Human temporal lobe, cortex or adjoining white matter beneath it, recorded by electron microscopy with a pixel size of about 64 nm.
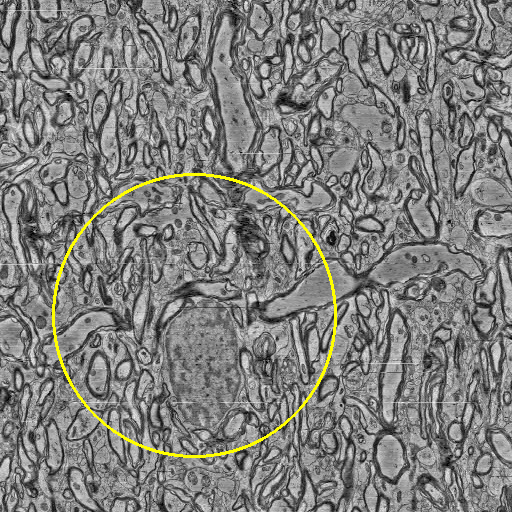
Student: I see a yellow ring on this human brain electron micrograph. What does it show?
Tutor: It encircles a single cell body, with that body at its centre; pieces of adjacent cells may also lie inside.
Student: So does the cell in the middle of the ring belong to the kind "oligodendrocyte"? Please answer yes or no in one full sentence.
Yes, the cell in the middle of that yellow ring belongs to this kind.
